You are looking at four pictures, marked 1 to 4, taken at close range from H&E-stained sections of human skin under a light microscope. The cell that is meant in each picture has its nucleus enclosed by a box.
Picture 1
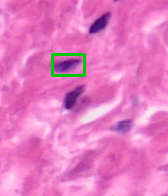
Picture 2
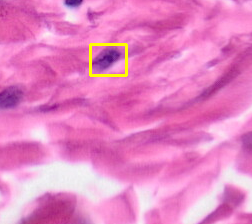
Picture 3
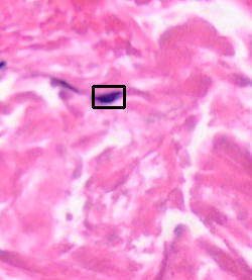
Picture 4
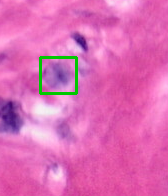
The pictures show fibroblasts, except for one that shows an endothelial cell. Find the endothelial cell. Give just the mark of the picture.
4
